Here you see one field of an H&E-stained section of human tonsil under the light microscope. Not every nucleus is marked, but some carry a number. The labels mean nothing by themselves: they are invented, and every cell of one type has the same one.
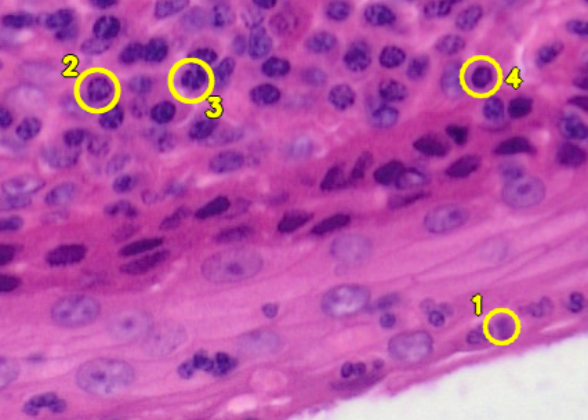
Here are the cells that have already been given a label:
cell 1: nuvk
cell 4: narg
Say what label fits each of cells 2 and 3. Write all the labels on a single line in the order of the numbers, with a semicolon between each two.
narg; narg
